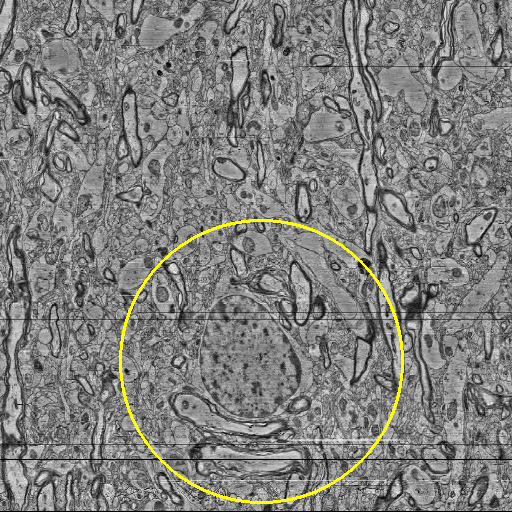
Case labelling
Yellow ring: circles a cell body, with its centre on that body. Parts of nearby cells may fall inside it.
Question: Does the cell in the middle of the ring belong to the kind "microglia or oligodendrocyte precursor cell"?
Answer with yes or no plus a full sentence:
Yes, in this picture the cell in the middle of the yellow ring belongs to that kind.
